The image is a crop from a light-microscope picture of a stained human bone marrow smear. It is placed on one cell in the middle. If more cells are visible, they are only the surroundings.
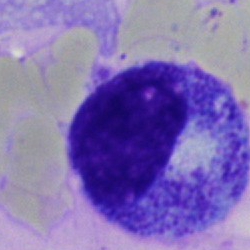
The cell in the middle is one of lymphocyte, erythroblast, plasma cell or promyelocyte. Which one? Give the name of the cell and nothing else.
promyelocyte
